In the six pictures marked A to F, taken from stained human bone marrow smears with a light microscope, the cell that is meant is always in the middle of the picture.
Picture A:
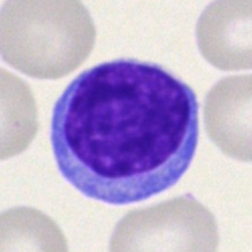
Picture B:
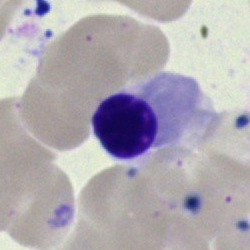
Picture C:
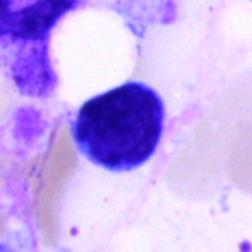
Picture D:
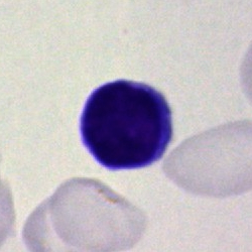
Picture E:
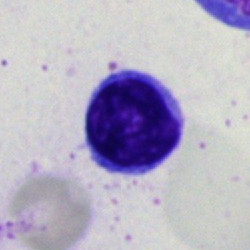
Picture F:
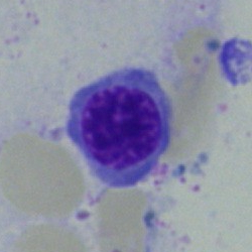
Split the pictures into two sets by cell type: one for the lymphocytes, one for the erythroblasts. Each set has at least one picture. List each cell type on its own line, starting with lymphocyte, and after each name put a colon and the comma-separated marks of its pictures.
lymphocyte: A, C, D, E
erythroblast: B, F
